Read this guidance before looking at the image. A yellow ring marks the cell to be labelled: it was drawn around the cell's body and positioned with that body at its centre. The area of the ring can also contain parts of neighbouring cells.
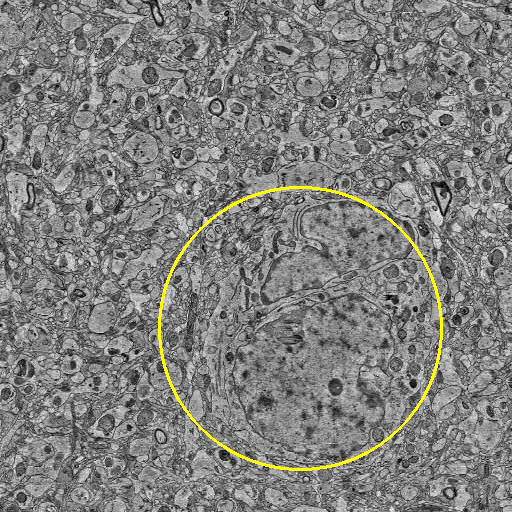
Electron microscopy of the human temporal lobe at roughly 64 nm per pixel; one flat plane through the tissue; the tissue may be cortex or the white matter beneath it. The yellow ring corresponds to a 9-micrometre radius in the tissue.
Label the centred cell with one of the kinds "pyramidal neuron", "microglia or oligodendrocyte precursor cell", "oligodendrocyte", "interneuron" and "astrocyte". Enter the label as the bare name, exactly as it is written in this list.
interneuron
